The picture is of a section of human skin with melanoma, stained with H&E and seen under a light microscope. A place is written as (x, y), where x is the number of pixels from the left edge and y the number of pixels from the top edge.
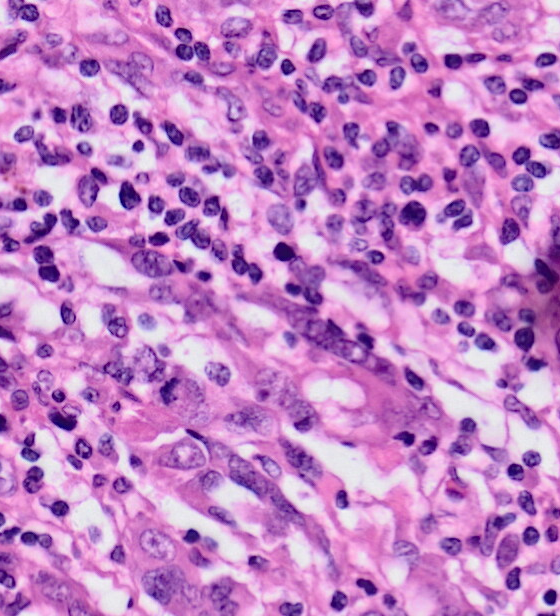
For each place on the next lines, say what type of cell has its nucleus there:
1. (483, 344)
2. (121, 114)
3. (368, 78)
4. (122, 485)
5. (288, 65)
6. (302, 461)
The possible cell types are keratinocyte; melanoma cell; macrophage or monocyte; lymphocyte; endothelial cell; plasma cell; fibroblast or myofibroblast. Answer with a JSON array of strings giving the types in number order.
["lymphocyte", "lymphocyte", "lymphocyte", "plasma cell", "lymphocyte", "melanoma cell"]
